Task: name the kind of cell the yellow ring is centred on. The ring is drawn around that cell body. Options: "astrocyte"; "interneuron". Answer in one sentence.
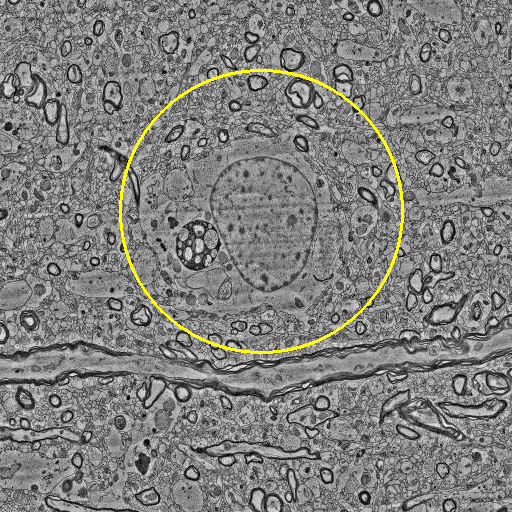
This cell body belongs to an astrocyte.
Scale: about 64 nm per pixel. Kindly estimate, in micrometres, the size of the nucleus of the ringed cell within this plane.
In this plane, roughly 9 by 7 micrometres.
